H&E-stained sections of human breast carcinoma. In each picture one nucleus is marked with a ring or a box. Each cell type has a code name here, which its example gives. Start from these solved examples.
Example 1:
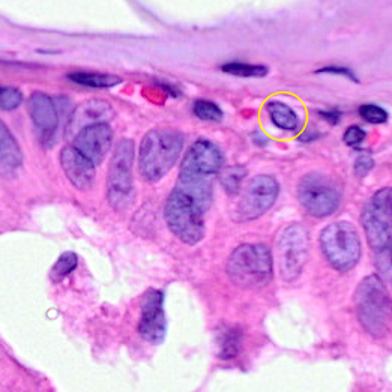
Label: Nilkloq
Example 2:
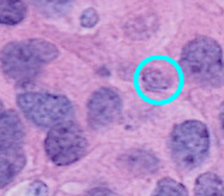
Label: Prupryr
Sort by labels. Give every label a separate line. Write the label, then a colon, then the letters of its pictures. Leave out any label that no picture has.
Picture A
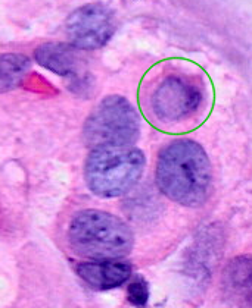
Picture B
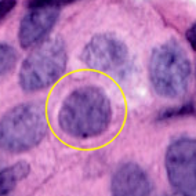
Prupryr: A, B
